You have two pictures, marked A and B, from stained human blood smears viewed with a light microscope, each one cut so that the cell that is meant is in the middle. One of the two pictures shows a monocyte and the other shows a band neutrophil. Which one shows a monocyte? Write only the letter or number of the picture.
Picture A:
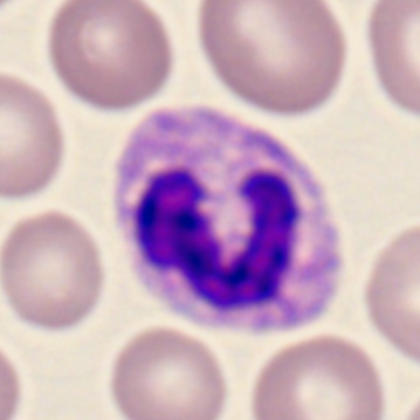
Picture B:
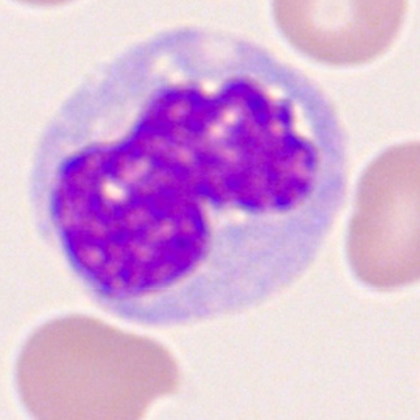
B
